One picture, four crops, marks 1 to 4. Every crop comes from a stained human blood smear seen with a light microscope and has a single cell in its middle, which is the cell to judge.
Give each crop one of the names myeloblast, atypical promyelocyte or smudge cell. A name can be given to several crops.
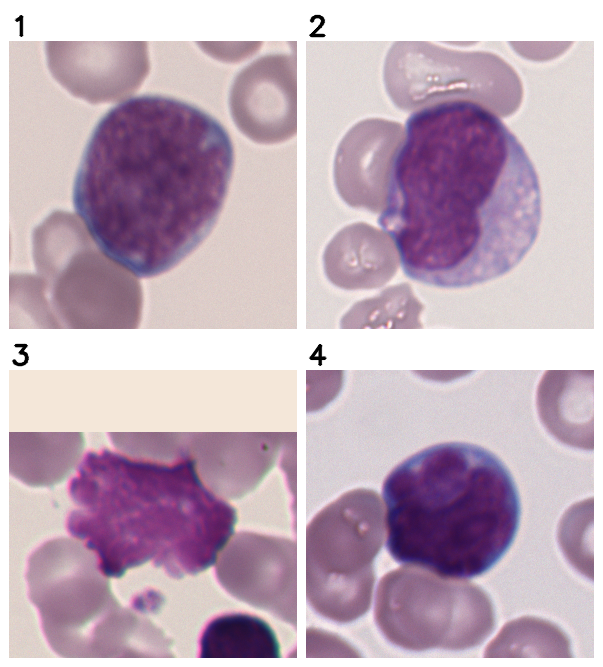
1: myeloblast
2: atypical promyelocyte
3: smudge cell
4: myeloblast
